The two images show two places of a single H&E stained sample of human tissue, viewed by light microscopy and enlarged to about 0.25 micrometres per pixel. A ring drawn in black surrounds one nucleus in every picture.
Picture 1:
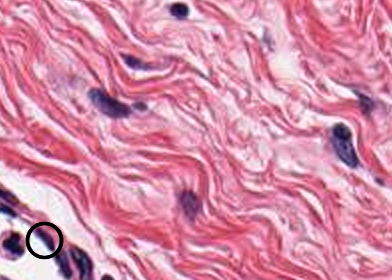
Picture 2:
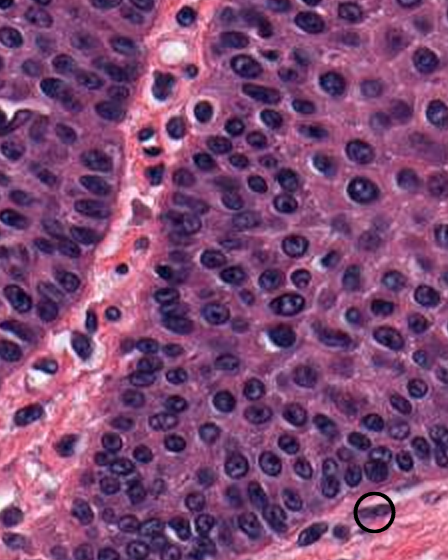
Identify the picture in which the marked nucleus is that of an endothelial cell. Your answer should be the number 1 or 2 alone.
1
